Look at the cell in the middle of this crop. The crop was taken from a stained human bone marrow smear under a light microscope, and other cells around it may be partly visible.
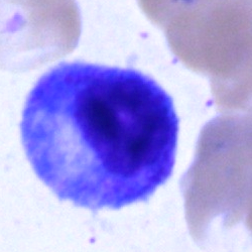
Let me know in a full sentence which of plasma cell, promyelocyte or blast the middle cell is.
Looking at the middle of the crop, the cell there is a promyelocyte.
